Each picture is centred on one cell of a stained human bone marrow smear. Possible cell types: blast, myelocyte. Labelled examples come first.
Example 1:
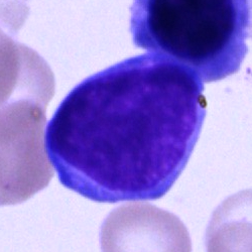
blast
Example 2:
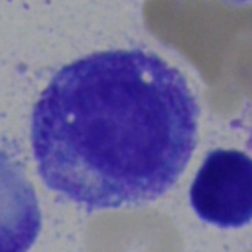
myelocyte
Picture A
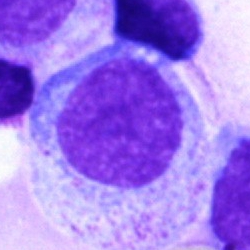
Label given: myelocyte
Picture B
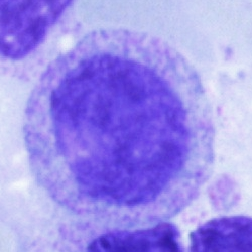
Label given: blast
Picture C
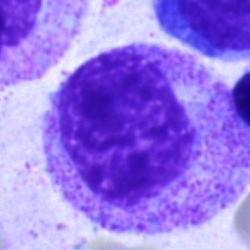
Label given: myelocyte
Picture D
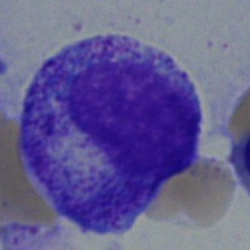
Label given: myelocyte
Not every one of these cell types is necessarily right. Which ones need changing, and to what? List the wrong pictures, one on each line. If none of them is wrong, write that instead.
B is labelled blast; correct label: myelocyte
